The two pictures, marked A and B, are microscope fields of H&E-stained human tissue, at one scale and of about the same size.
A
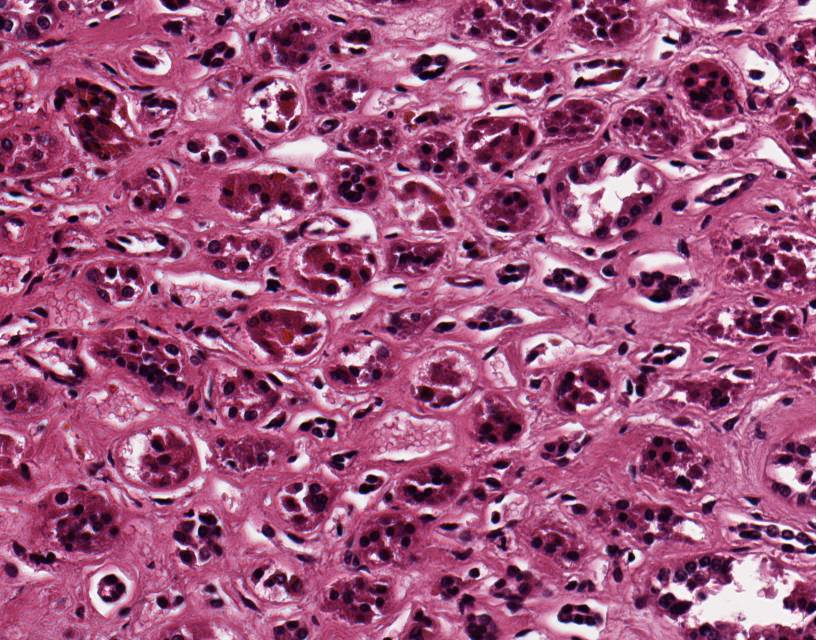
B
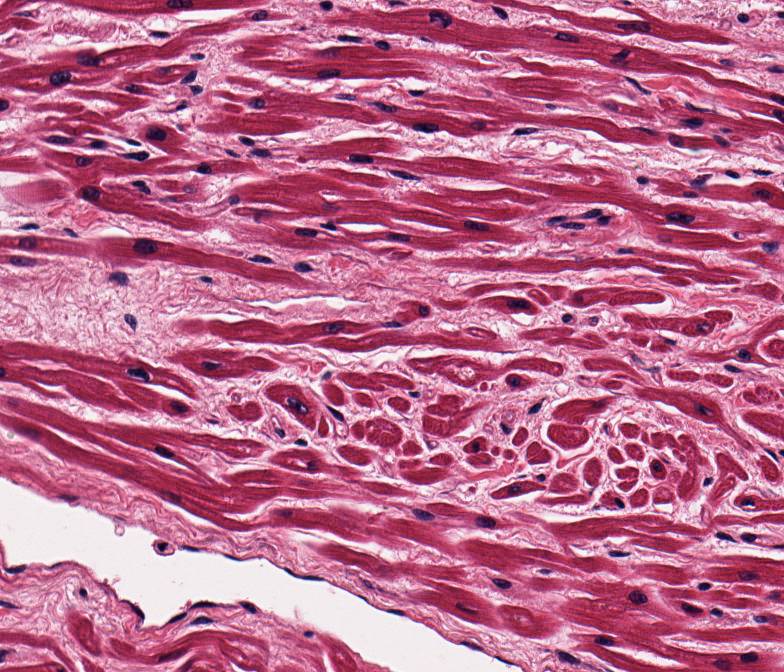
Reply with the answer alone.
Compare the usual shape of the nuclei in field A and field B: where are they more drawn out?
B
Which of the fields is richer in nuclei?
A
